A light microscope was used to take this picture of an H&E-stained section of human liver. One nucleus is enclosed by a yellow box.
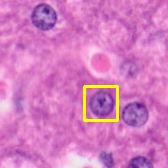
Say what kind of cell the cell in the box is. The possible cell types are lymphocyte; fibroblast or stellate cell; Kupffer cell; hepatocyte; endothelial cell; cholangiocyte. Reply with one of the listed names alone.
hepatocyte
